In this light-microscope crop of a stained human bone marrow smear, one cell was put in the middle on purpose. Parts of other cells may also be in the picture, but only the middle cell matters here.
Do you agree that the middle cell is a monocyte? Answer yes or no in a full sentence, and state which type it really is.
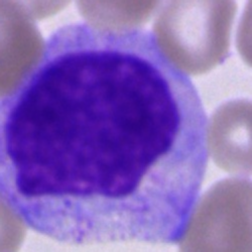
No, the cell in the centre of the crop is a promyelocyte as opposed to a monocyte.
